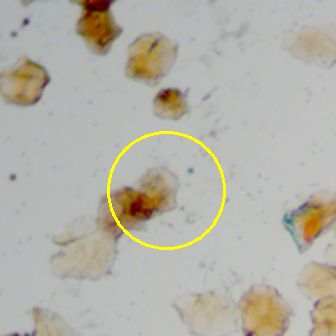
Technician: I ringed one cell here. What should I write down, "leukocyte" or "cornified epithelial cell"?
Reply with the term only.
cornified epithelial cell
